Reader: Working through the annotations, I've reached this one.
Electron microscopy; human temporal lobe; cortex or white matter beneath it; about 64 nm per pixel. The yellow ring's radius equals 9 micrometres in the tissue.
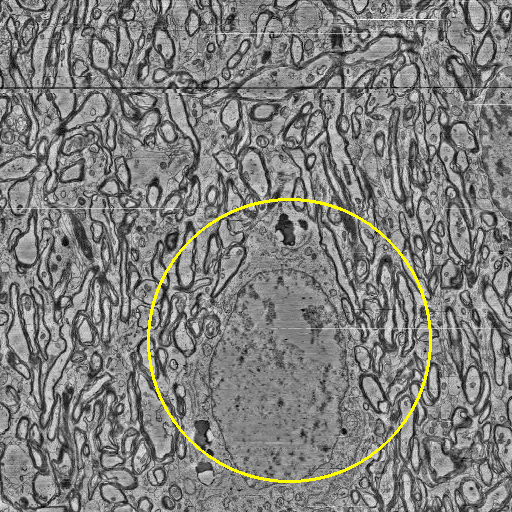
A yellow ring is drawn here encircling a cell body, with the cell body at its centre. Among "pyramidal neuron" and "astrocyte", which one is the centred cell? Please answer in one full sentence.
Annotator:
The cell body at the centre of the yellow ring in this image belongs to a pyramidal neuron.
